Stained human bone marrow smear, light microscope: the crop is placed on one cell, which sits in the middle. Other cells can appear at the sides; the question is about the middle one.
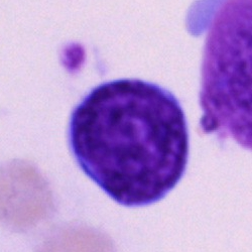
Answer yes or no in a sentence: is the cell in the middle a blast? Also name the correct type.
Yes, this central cell is a blast.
